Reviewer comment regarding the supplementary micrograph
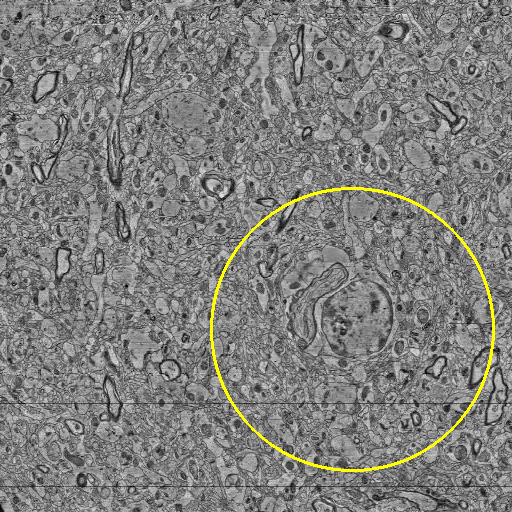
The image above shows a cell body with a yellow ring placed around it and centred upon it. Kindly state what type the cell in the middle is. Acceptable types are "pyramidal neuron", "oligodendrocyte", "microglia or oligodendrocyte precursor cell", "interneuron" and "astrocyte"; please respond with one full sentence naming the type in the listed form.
In the image above, the cell on which the yellow ring is centred is a microglial cell or oligodendrocyte precursor cell.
